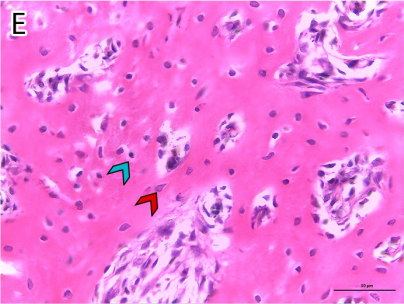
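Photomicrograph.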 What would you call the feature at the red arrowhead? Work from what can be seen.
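The arrowhead points to a small space in the pink matrix. On this evidence: lacunae without osteocytes.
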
